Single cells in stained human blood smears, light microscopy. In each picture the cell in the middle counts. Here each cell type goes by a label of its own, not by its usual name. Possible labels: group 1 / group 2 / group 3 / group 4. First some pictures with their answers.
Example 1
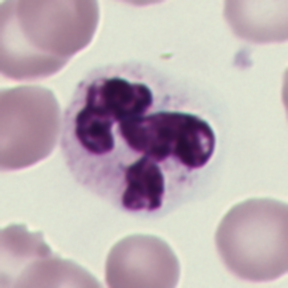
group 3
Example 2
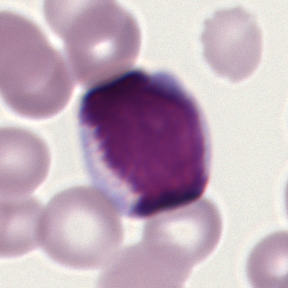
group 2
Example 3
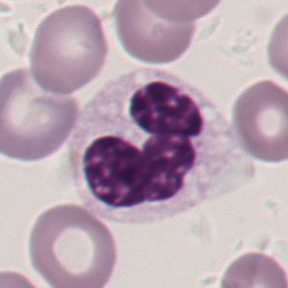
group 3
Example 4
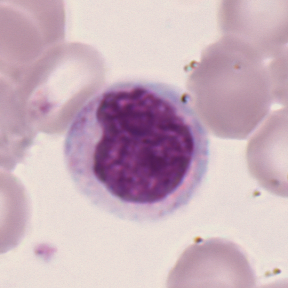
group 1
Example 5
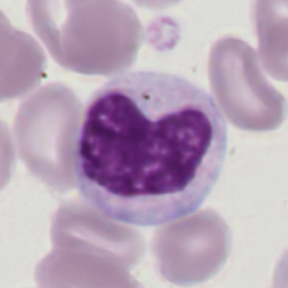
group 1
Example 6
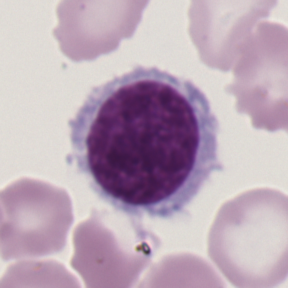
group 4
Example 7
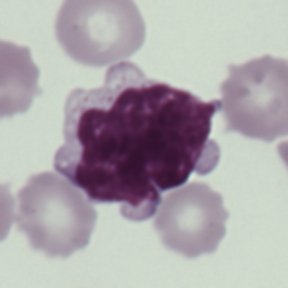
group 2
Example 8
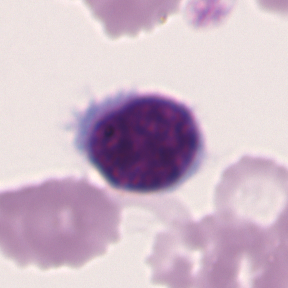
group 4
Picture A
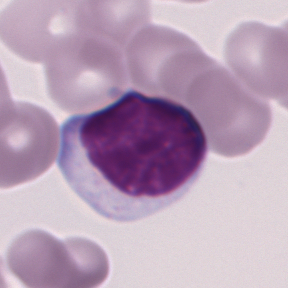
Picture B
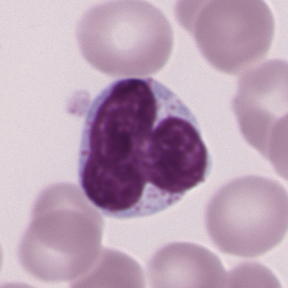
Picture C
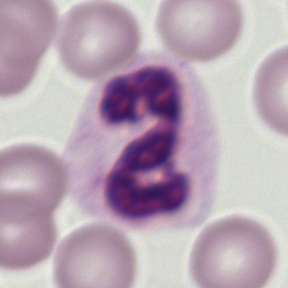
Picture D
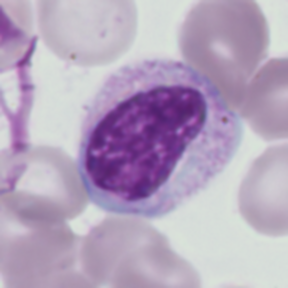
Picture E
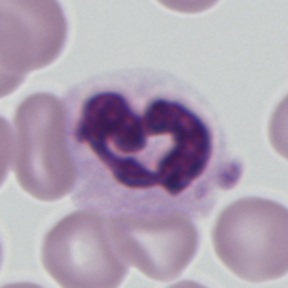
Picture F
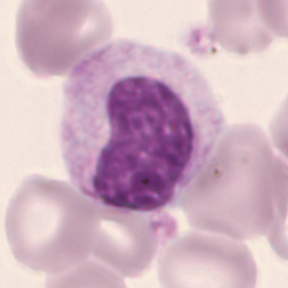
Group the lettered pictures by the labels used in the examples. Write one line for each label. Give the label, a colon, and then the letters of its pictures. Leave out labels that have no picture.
group 1: D, F
group 2: A, B
group 3: C, E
